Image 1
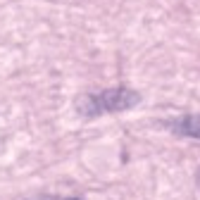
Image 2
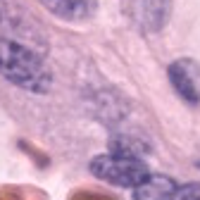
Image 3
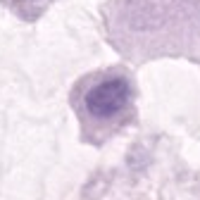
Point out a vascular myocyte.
That is picture 1.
